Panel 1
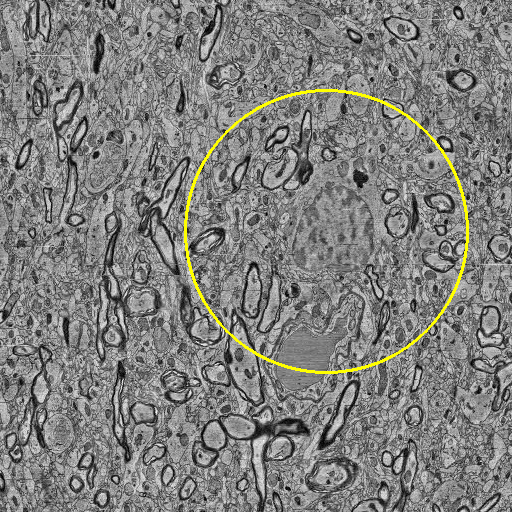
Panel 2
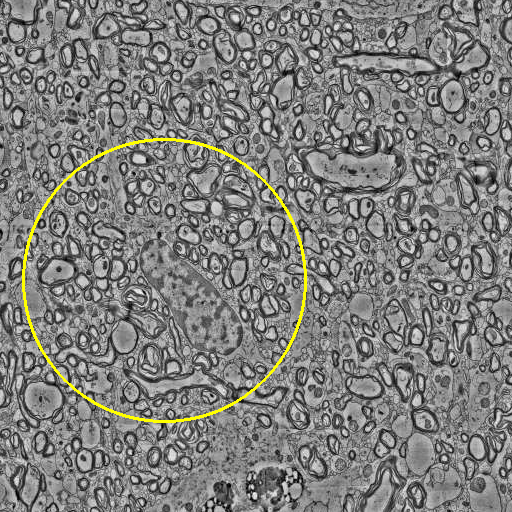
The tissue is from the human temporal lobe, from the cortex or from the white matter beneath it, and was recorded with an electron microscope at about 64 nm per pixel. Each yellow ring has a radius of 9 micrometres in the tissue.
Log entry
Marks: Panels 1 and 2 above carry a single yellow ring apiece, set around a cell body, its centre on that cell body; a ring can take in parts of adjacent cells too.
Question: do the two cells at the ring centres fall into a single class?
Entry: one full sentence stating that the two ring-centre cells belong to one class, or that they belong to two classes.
The two ring-centre cells in Panels 1 and 2 belong to two classes.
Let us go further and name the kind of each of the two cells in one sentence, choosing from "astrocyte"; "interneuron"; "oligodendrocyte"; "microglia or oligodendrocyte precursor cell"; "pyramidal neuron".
The ring of the first picture is on an oligodendrocyte, the ring of the second on a microglial cell or oligodendrocyte precursor cell.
